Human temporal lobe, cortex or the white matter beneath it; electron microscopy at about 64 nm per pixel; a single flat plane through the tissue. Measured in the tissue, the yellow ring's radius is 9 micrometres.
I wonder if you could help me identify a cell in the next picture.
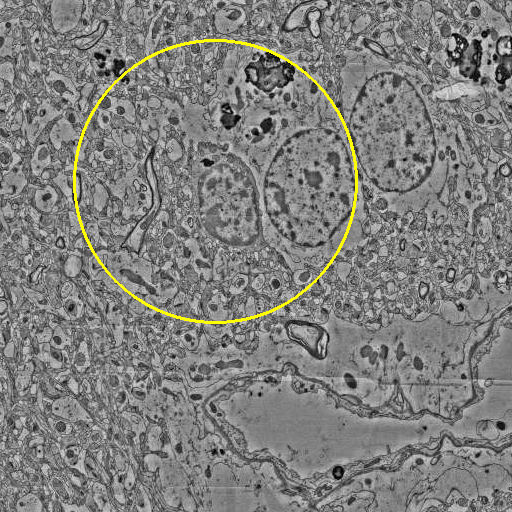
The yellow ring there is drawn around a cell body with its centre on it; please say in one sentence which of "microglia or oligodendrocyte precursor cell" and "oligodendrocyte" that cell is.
The yellow ring is centred on an oligodendrocyte.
